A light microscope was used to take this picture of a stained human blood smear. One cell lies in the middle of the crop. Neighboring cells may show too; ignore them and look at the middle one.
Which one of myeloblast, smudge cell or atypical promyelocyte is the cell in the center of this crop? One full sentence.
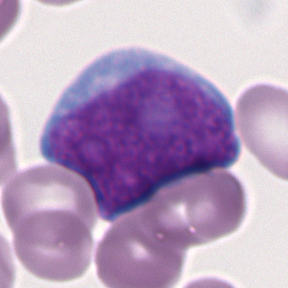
The cell shown in the center of this light-microscope crop is a myeloblast.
